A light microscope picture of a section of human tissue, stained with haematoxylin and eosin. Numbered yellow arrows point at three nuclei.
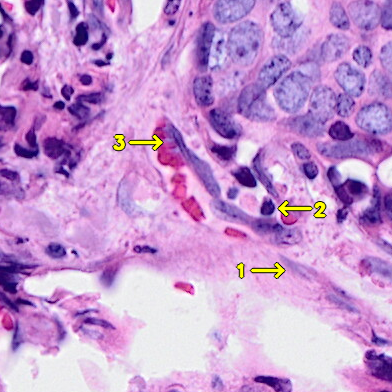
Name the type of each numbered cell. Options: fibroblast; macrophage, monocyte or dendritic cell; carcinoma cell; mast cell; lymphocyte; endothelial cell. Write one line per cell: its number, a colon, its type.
1: fibroblast
2: lymphocyte
3: endothelial cell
